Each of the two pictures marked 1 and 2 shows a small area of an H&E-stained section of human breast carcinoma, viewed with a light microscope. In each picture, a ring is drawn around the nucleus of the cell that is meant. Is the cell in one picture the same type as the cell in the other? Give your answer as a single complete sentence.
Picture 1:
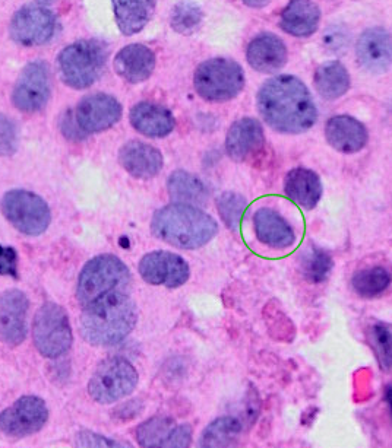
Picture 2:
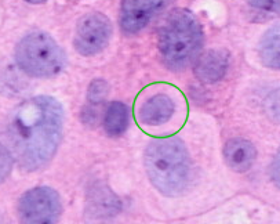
Yes, they are the same type: both are carcinoma cells.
